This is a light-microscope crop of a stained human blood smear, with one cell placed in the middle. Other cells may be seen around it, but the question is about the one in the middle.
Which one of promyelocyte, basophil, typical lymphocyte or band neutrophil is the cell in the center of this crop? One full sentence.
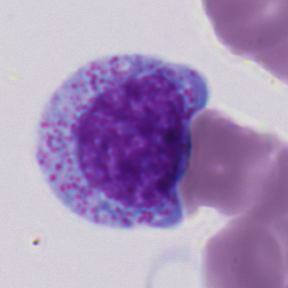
The cell under consideration, at the middle of the crop, is a promyelocyte.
